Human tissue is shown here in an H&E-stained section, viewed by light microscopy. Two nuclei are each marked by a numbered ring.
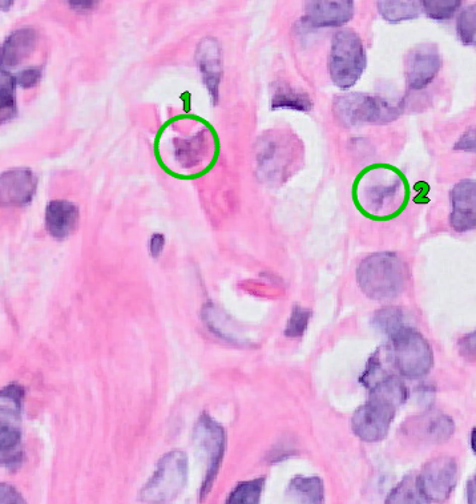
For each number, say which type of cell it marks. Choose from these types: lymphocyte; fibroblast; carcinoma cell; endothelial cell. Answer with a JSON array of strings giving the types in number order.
["endothelial cell", "fibroblast"]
